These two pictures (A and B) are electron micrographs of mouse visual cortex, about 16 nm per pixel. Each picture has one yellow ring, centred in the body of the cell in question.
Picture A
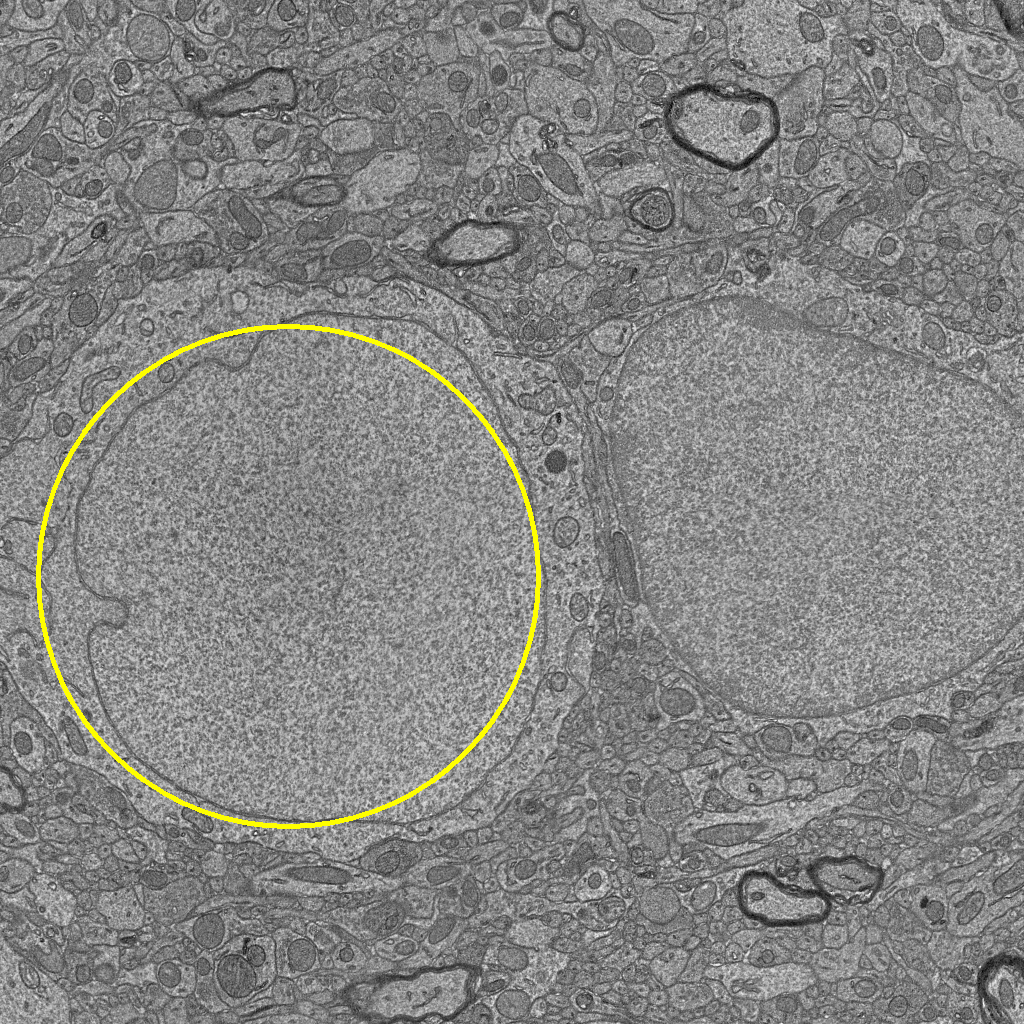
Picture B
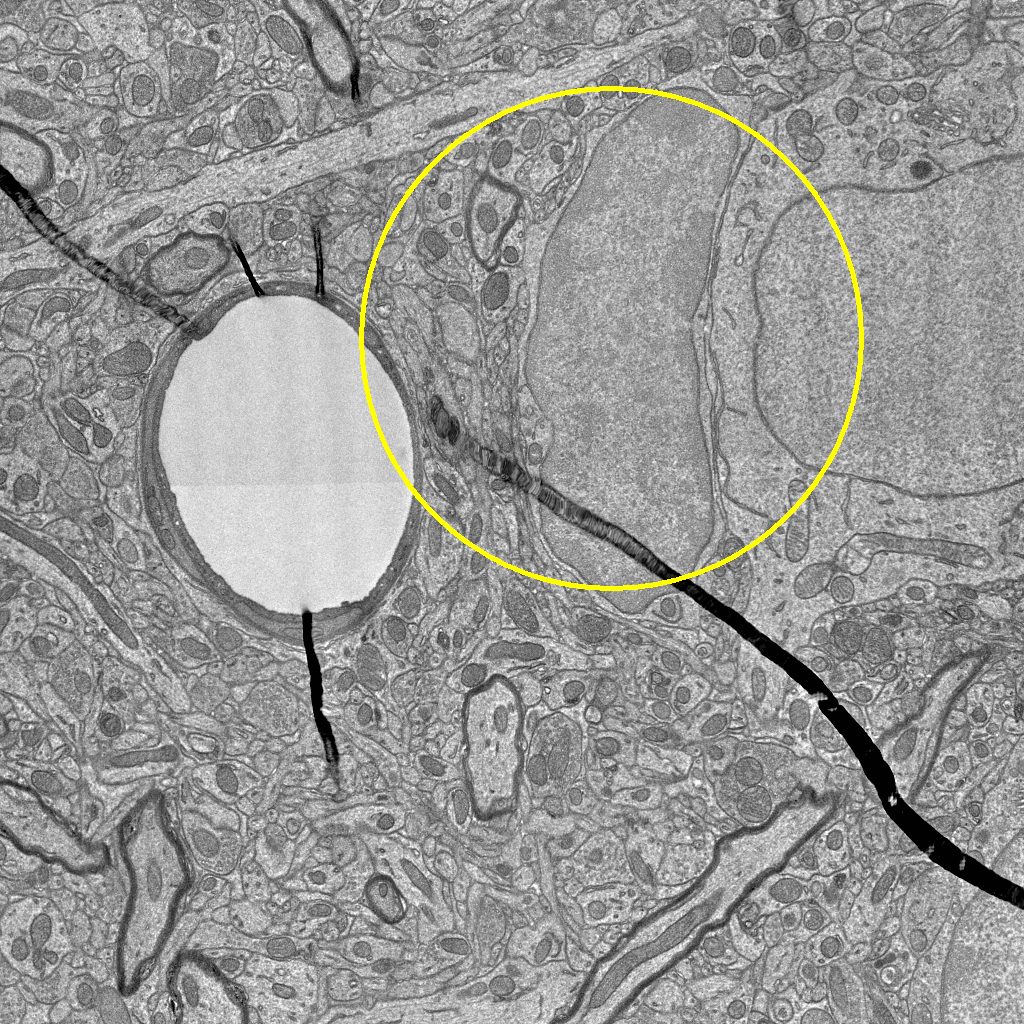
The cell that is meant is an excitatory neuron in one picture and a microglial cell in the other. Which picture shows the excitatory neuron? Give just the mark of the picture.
A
